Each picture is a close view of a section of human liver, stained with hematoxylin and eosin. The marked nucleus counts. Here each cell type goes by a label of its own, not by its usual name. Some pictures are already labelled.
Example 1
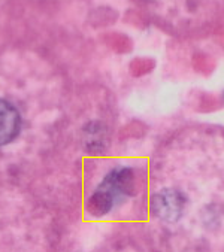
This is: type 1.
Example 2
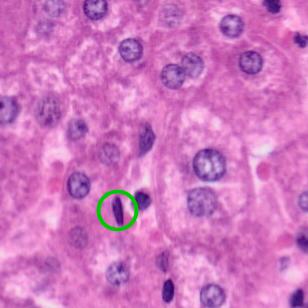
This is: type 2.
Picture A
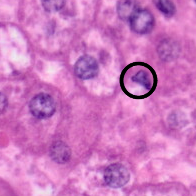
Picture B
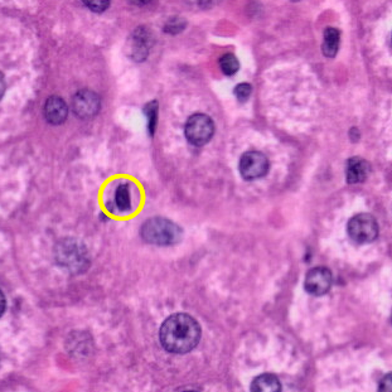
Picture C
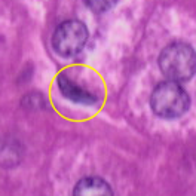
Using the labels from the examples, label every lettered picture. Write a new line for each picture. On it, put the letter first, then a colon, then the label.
A: type 1.
B: type 2.
C: type 1.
